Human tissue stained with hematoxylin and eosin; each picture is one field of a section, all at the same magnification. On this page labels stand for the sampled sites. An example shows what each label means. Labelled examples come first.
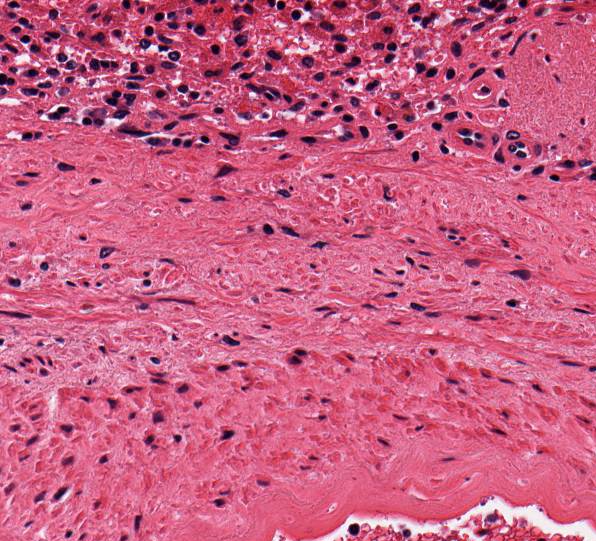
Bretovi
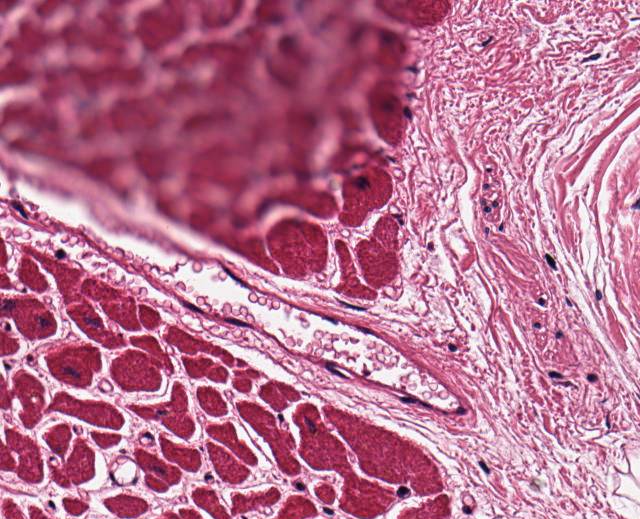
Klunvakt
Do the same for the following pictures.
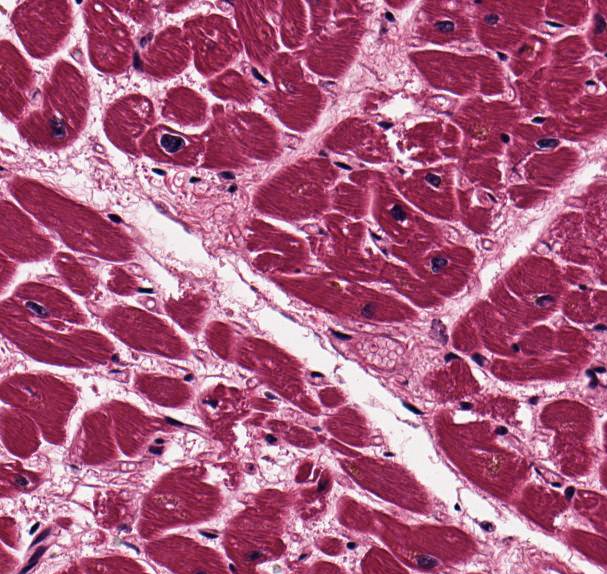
Klunvakt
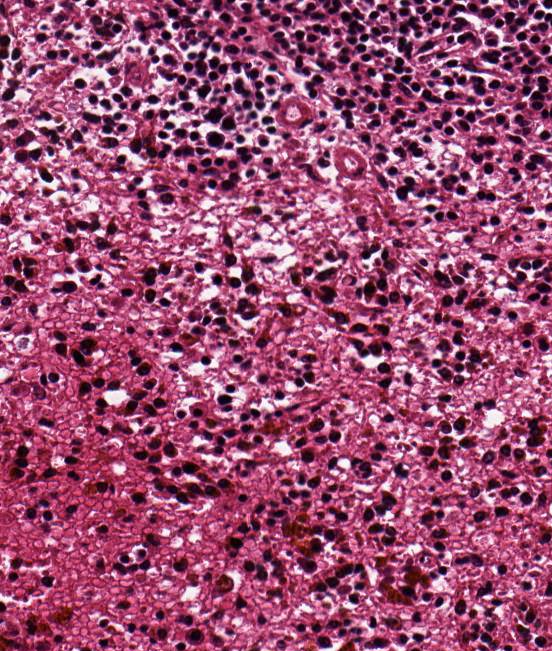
Bretovi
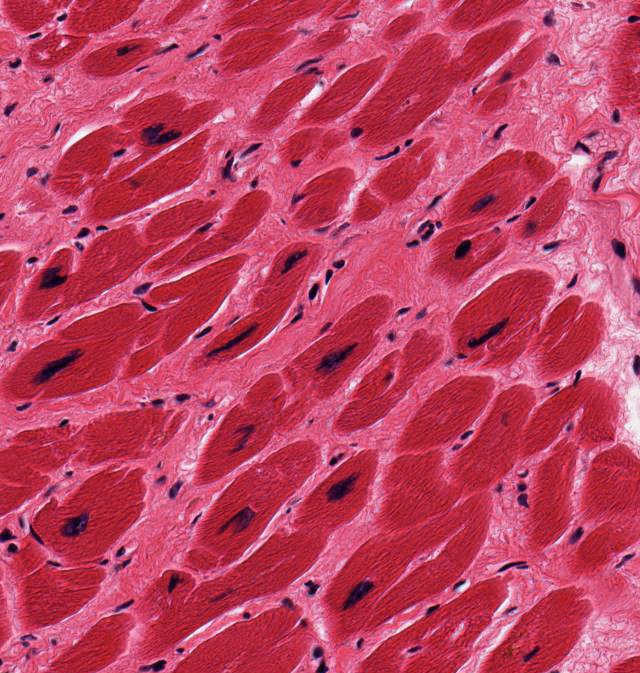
Klunvakt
